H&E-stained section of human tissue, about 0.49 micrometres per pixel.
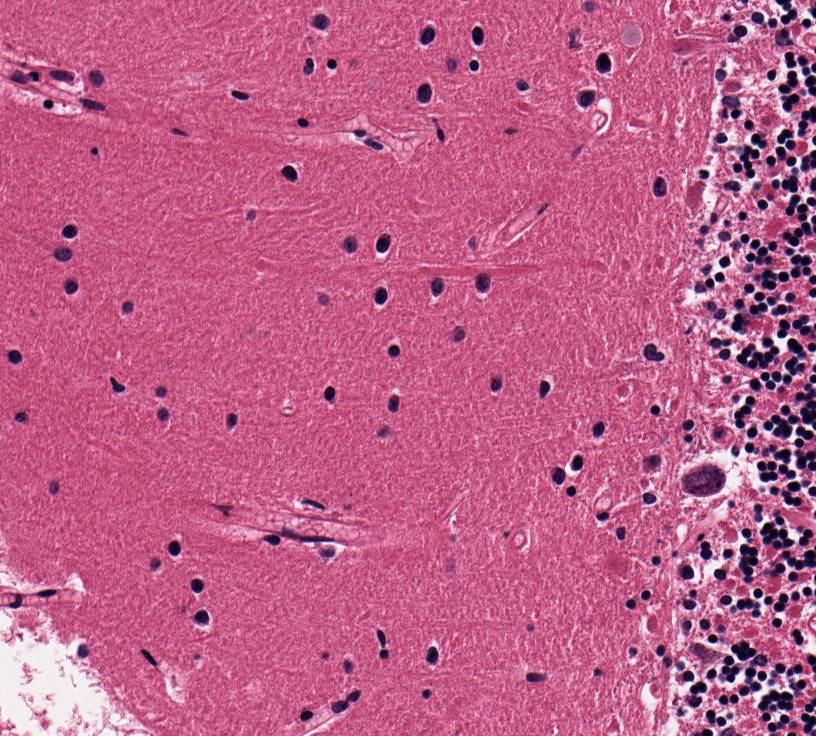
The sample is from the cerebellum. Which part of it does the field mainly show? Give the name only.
molecular layer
